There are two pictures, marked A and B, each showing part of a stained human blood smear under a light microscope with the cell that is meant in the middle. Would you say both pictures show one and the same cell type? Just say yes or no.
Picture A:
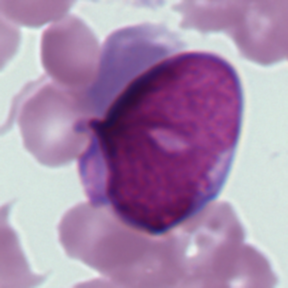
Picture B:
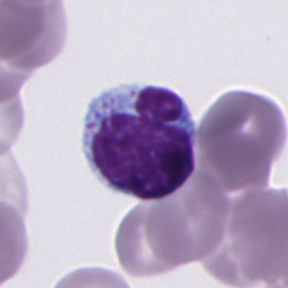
no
